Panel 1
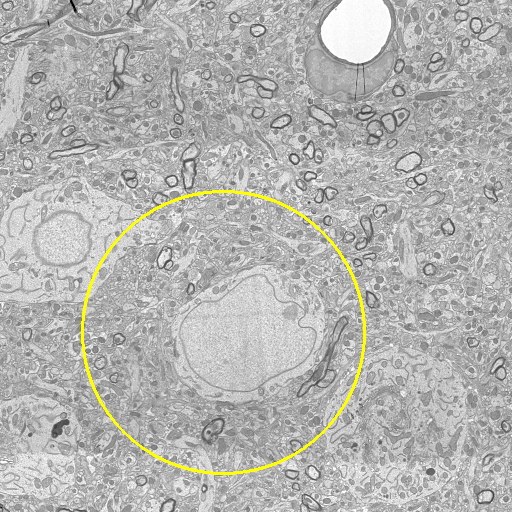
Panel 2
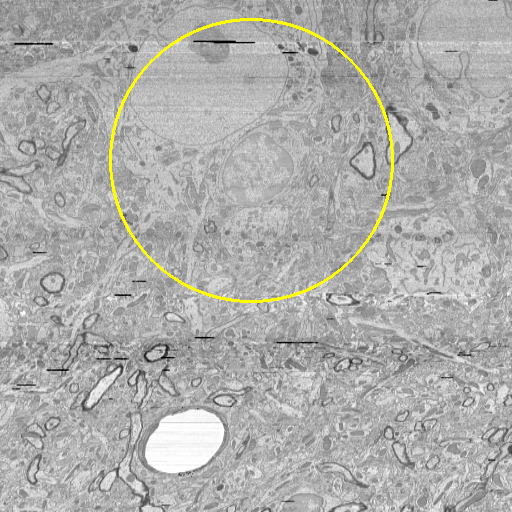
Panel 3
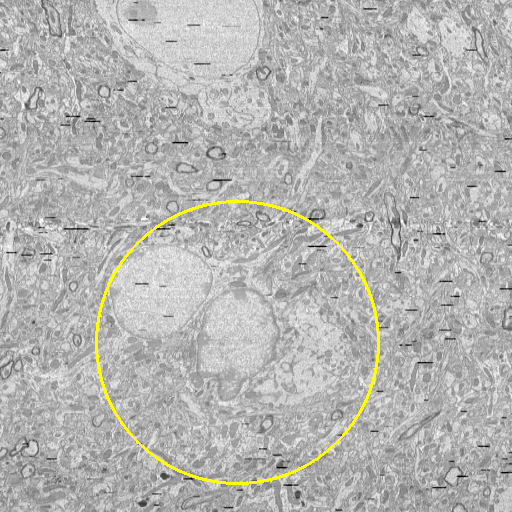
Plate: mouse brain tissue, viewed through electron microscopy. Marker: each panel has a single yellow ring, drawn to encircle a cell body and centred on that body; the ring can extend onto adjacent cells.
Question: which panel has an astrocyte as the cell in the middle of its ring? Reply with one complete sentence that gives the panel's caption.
Panel 3 is where the requested cell sits at the centre of the ring.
